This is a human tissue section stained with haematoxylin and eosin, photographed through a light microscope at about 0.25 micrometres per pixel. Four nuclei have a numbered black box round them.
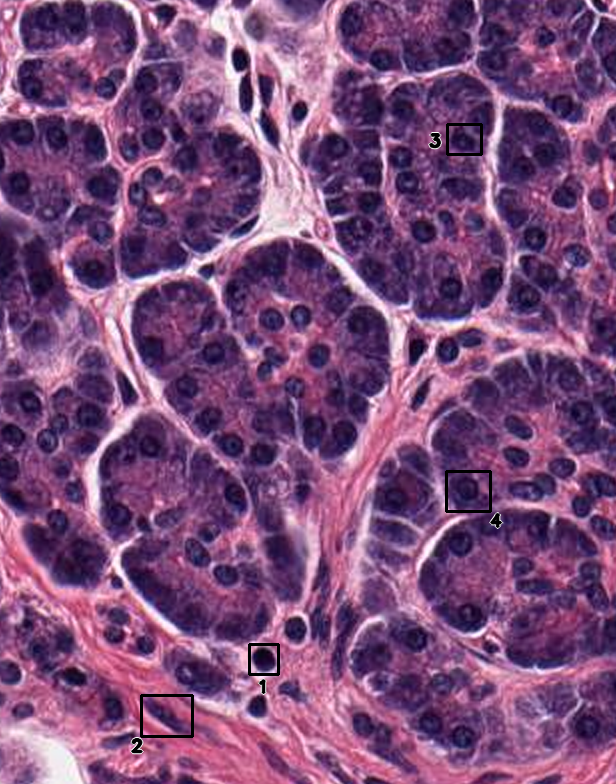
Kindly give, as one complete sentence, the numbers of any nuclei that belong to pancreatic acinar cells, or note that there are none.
The nuclei numbered 3 and 4 belong, in each case, to pancreatic acinar cells.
